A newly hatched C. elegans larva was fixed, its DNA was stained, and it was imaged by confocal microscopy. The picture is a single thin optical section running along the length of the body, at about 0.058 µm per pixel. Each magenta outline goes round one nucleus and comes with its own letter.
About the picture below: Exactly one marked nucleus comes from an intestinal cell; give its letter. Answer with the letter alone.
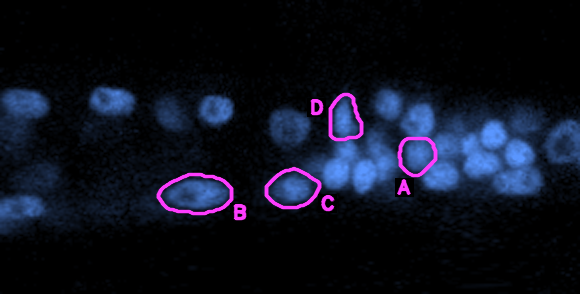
C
